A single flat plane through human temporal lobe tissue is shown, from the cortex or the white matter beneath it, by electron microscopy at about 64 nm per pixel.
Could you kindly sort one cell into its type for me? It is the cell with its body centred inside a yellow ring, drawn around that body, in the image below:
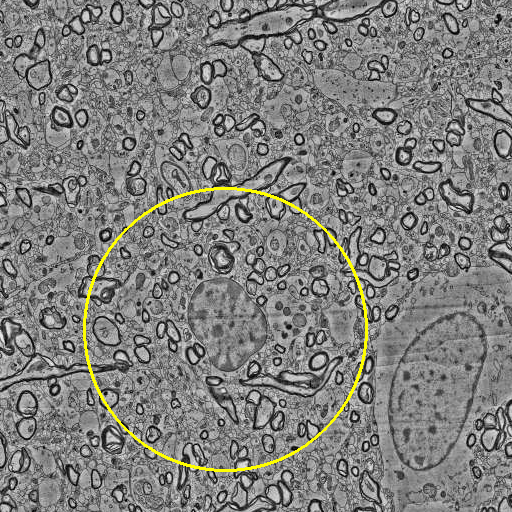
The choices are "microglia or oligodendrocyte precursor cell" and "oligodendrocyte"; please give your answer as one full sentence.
The cell whose body lies centred in the yellow ring here is a microglial cell or oligodendrocyte precursor cell.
